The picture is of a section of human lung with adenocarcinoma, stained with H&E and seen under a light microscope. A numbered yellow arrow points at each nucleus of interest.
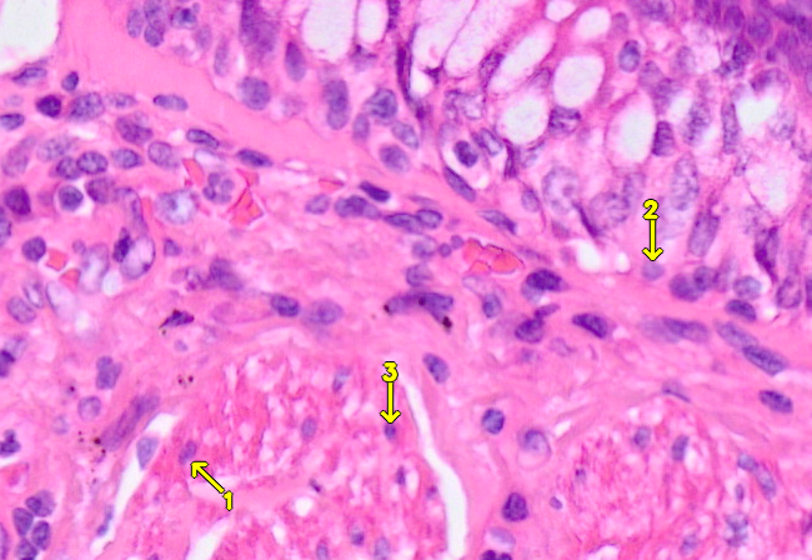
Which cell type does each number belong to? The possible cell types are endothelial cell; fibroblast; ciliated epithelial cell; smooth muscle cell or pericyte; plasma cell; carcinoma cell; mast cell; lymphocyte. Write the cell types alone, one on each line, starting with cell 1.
smooth muscle cell or pericyte
ciliated epithelial cell
smooth muscle cell or pericyte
